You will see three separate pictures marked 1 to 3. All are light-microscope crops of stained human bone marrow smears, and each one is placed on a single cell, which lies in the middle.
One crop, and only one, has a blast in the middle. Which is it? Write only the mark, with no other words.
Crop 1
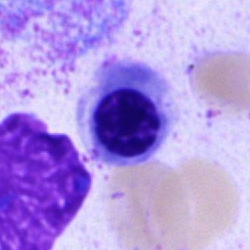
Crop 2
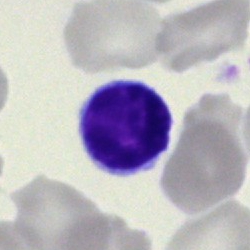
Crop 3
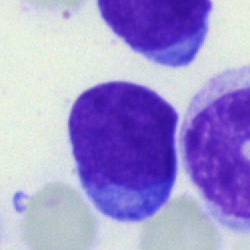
3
